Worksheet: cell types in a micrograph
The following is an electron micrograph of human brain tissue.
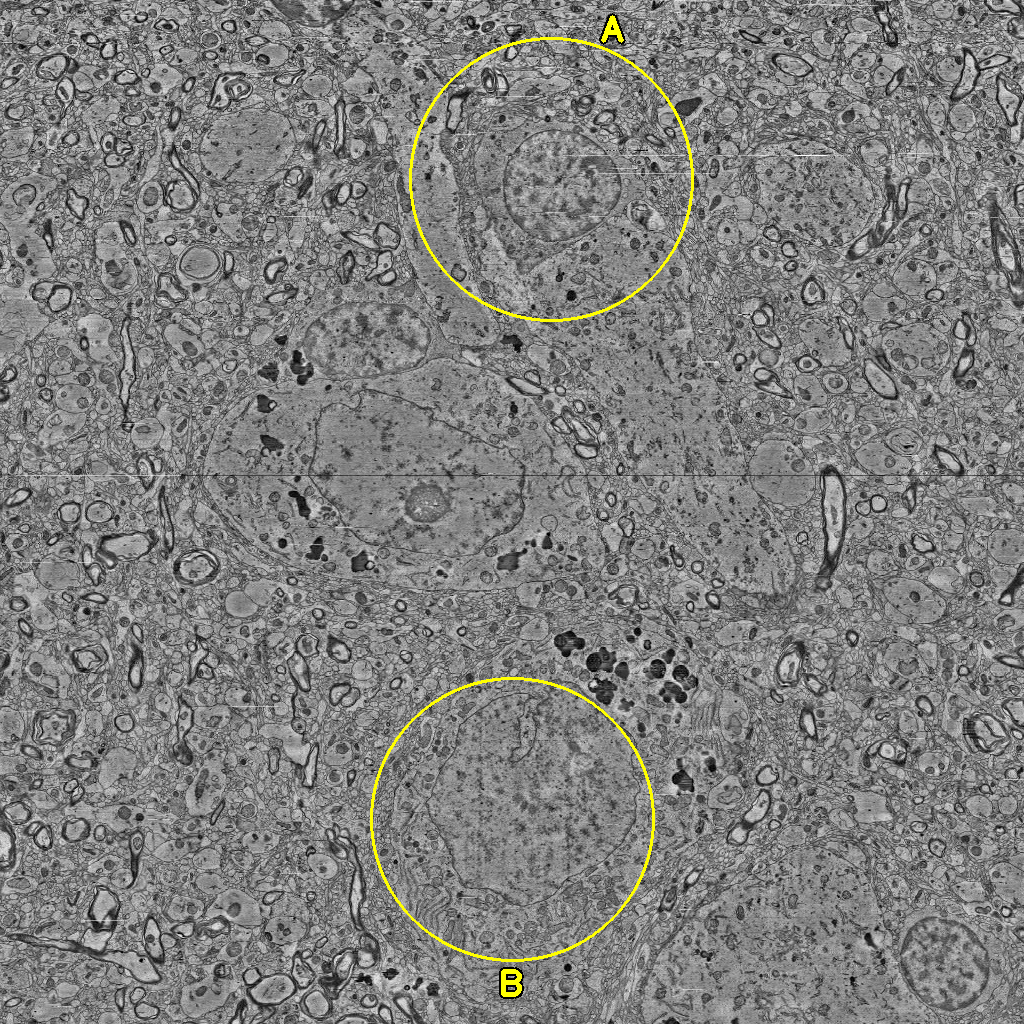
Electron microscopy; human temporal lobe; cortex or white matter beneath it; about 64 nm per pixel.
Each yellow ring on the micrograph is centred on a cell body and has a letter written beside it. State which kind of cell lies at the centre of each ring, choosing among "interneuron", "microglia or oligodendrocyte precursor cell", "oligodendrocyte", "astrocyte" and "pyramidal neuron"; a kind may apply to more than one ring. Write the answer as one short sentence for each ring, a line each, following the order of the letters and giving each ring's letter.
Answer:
Ring A has an oligodendrocyte in its centre.
Ring B has an interneuron in its centre.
